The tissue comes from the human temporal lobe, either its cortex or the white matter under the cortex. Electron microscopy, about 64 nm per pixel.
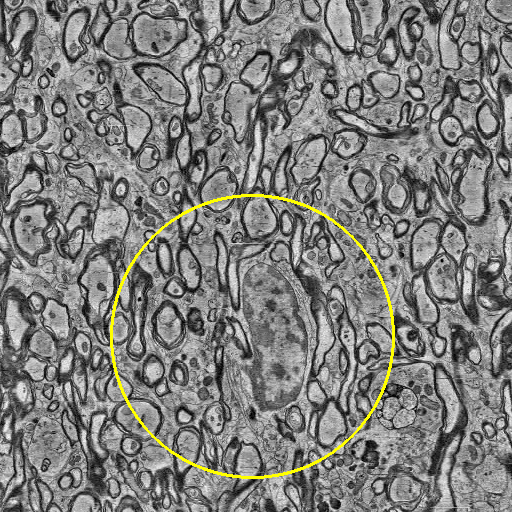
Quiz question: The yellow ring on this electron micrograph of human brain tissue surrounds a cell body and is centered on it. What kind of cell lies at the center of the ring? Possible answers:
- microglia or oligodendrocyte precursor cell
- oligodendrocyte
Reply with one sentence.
The ring's center lies on a microglial cell or oligodendrocyte precursor cell.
